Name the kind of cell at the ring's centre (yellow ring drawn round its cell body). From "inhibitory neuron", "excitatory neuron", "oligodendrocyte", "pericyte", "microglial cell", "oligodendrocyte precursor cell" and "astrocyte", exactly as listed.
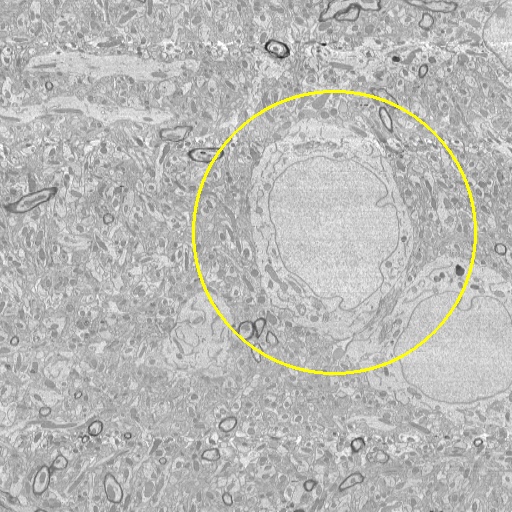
excitatory neuron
